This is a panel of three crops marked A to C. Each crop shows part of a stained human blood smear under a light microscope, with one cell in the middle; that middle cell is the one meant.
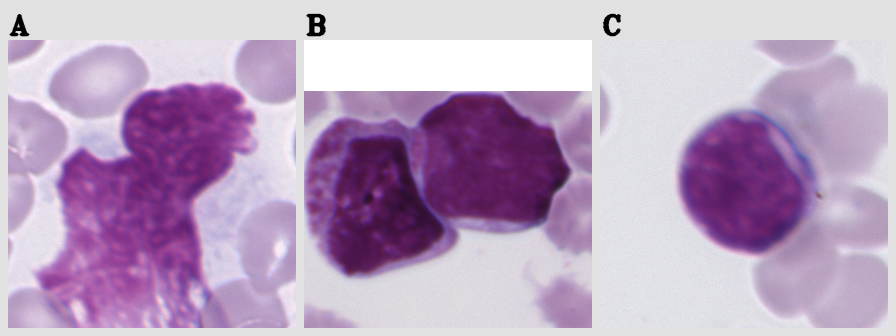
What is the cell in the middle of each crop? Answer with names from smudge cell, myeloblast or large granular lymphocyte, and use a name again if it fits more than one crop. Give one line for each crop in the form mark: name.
A: smudge cell
B: myeloblast
C: large granular lymphocyte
